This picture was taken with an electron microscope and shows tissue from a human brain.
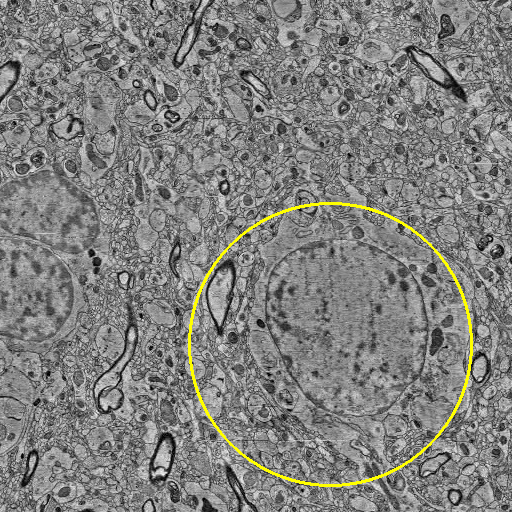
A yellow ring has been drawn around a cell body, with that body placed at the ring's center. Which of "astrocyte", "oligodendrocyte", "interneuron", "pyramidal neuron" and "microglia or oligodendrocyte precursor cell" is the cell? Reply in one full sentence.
In this picture, an astrocyte is the cell at the center of the yellow ring.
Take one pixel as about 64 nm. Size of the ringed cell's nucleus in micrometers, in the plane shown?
In this plane the nucleus measures roughly 12 by 10 micrometers.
